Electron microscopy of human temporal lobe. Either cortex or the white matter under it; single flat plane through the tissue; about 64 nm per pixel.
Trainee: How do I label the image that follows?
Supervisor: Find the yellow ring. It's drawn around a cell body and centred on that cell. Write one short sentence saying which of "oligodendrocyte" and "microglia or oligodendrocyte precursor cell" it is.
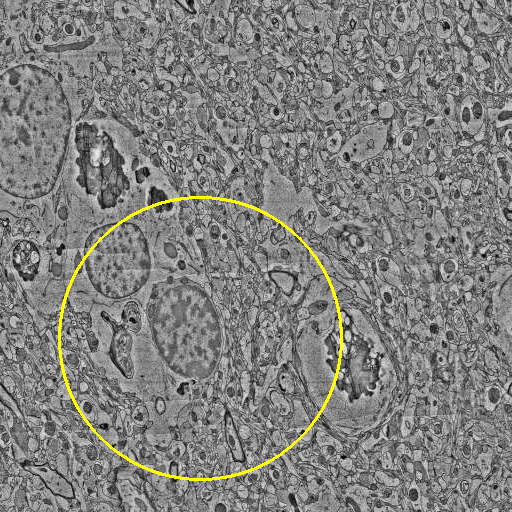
This is the cell body of an oligodendrocyte.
